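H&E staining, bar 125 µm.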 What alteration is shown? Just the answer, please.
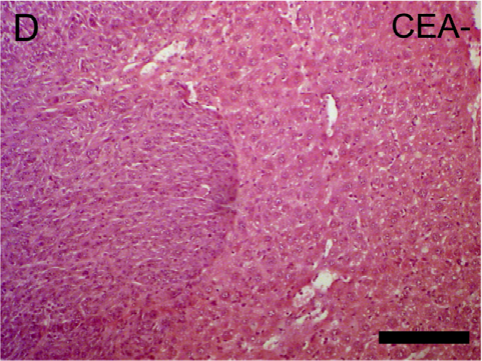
Liver metastases.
